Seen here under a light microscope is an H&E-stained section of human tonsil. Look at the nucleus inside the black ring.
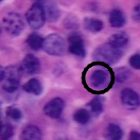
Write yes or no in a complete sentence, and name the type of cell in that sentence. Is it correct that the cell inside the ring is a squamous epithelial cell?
No, the cell inside the ring counts as a plasma cell, not a squamous epithelial cell.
